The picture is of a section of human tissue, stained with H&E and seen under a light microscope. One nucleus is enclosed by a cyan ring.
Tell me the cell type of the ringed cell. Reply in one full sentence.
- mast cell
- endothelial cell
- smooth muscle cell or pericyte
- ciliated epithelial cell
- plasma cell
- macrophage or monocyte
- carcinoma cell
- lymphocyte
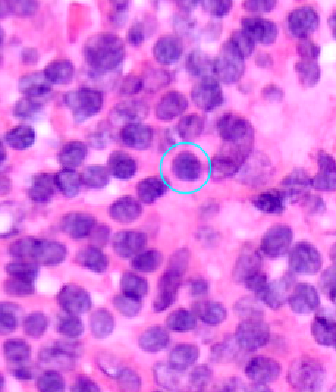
In this section, the ringed cell is a lymphocyte.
